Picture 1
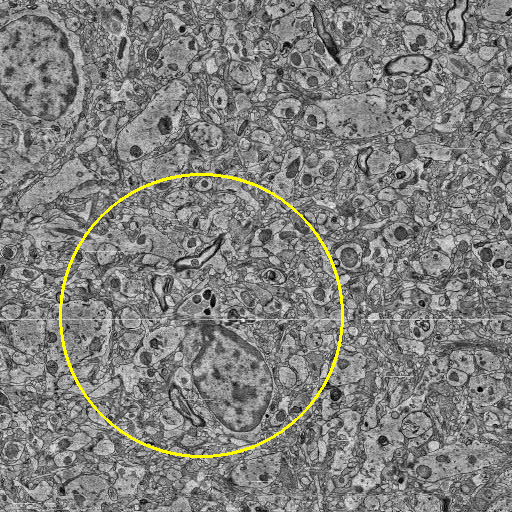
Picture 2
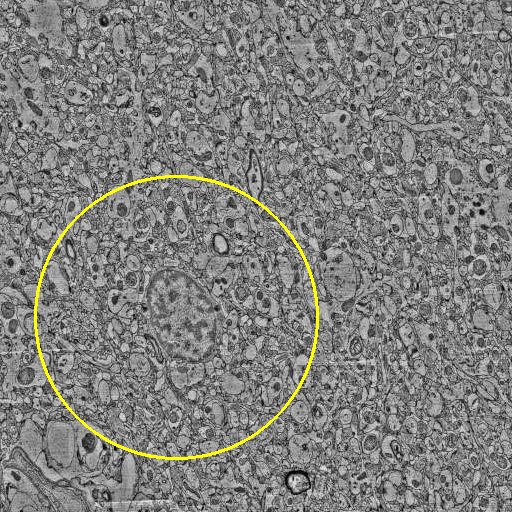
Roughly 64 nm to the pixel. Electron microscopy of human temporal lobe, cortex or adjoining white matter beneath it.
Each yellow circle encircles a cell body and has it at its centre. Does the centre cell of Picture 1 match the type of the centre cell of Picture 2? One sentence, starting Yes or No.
No, the cell centred in Picture 1 and the one in Picture 2 have separate types.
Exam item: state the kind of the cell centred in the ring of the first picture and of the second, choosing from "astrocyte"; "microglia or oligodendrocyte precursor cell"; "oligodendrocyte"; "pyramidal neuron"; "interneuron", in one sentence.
The first picture shows a microglial cell or oligodendrocyte precursor cell at the ring centre and the second shows an oligodendrocyte.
